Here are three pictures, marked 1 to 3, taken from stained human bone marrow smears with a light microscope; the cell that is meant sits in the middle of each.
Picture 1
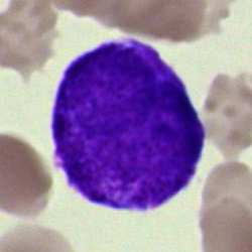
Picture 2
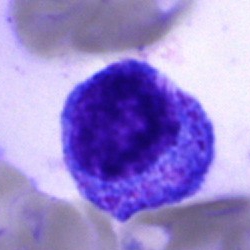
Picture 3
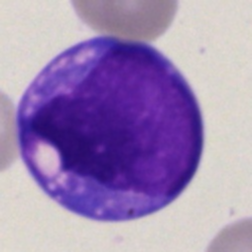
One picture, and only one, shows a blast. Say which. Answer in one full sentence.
The picture with the blast is 3.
